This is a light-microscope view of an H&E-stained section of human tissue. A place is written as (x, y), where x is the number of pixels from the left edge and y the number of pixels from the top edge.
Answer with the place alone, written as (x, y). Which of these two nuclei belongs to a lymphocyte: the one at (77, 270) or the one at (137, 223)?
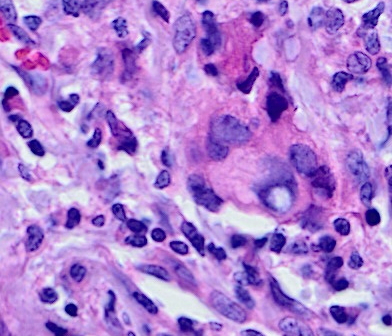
(137, 223)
